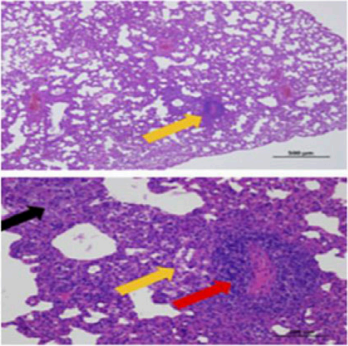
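This is lung tissue in which large areas of alveolar wall are severely thickened and packed with inflammatory cells, seen as many small, dark-purple nuclei. The alveoli vary in size, and many air spaces are narrowed or collapsed between the broad cellular septa. Around a blood vessel, inflammatory cells form a dense, dark ring-like cuff. At low magnification the infiltrated areas appear as darker purple patches within the paler lung.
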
